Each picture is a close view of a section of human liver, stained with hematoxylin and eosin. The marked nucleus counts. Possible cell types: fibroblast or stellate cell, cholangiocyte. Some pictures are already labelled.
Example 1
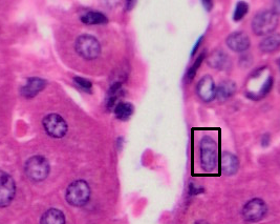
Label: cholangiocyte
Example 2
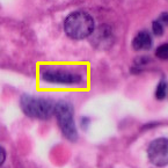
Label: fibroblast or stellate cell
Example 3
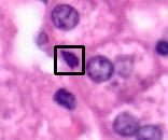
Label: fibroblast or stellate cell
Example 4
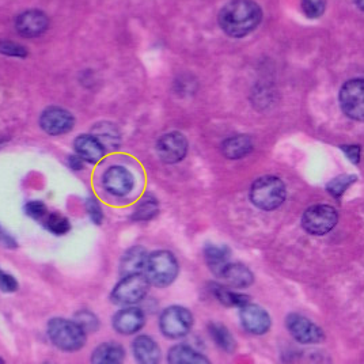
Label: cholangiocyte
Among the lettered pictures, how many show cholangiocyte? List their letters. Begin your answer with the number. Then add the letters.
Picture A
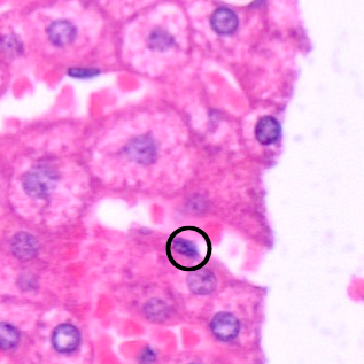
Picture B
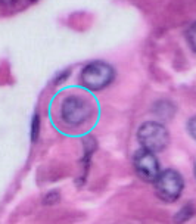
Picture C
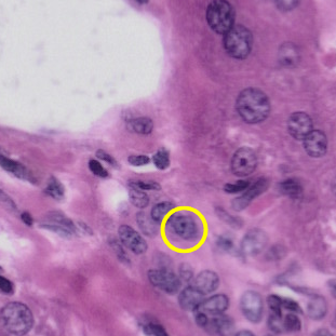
2: B, C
